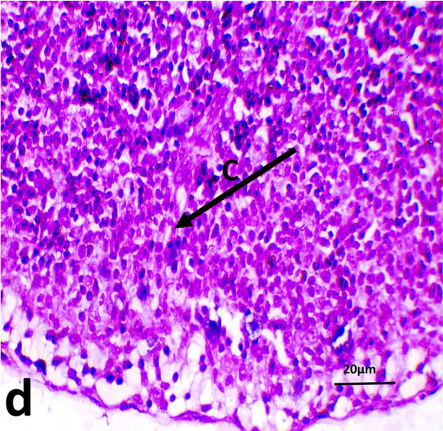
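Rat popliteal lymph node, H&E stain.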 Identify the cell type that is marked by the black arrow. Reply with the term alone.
Lymphocytes.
